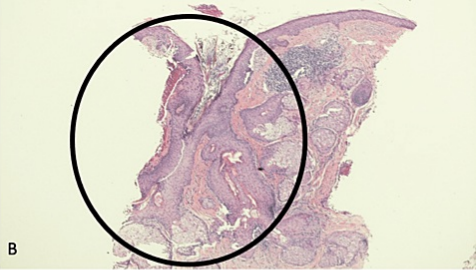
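The epithelial ingrowth surrounds a wide, funnel-shaped follicular opening and irregular spaces containing pale, flaky keratinous material. Pale, lobulated sebaceous glands lie beside the tract in the dermis, and a dense purple cluster of small cells sits just below the surface epidermis.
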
